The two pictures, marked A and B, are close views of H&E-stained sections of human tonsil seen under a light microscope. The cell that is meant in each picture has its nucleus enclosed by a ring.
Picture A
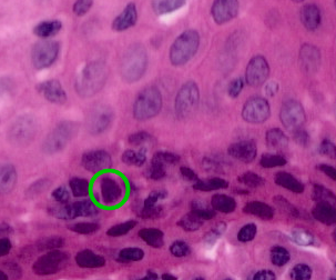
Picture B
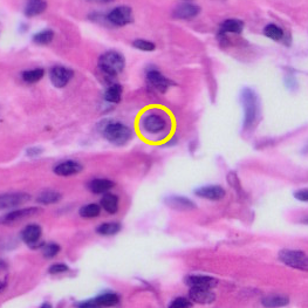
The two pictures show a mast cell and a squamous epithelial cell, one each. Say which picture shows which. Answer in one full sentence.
Picture A is of a squamous epithelial cell, and picture B is of a mast cell.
